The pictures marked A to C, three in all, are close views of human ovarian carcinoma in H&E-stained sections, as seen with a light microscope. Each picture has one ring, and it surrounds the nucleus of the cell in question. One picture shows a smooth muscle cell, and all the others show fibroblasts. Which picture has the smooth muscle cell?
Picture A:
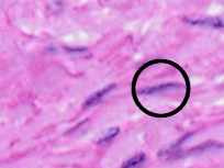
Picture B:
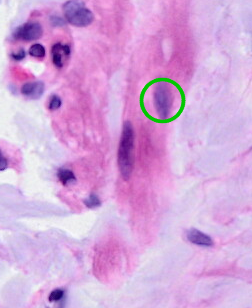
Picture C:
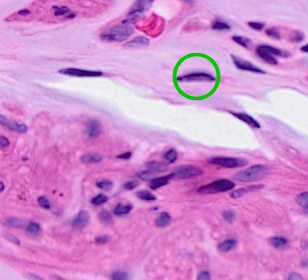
B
